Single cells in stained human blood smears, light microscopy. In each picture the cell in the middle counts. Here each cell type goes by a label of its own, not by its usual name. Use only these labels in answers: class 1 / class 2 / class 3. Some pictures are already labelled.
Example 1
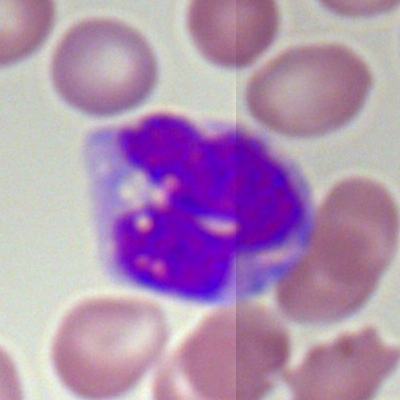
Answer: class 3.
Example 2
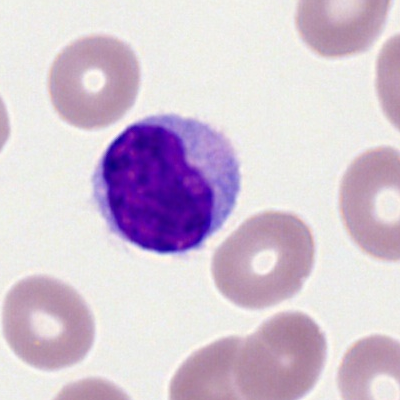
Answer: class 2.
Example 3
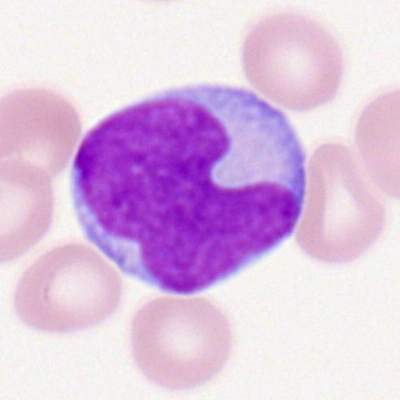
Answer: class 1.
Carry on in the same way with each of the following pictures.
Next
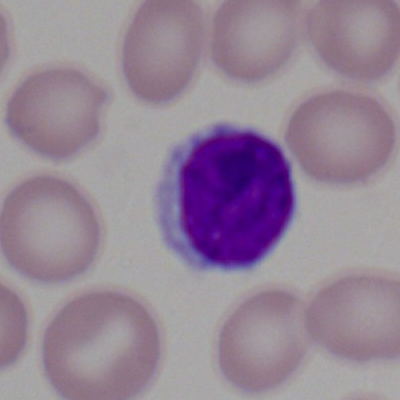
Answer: class 2.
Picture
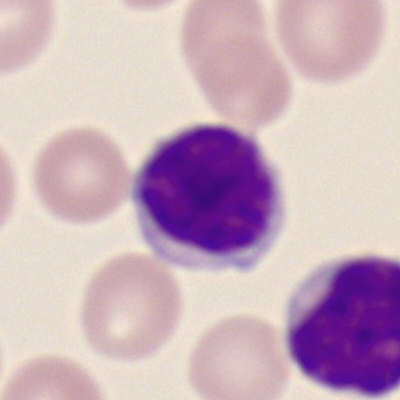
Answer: class 2.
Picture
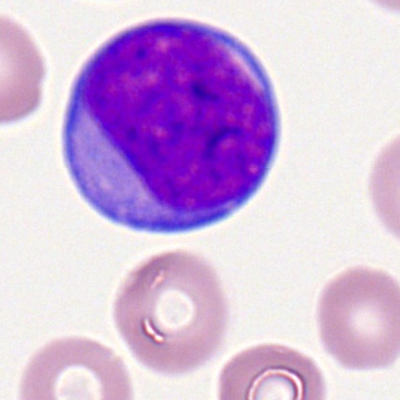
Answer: class 1.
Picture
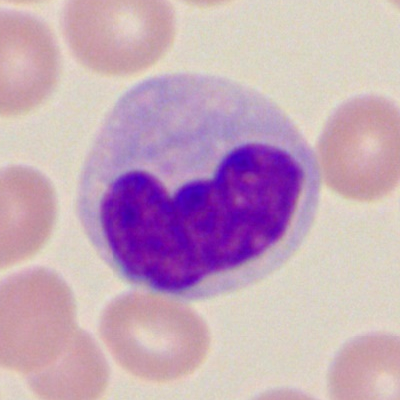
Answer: class 3.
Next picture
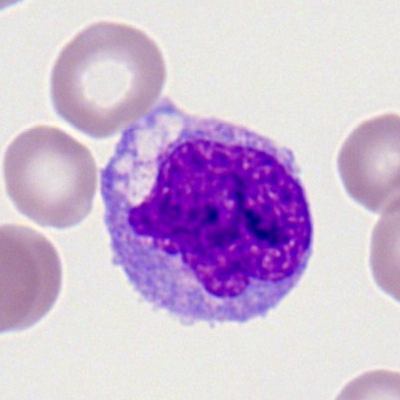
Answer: class 3.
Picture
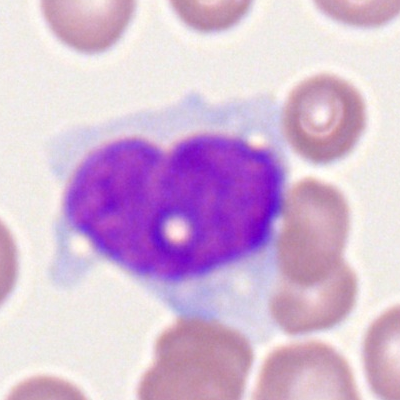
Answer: class 3.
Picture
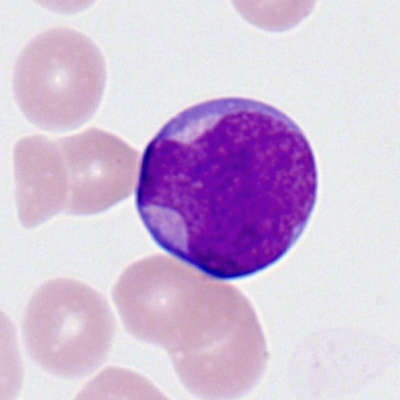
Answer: class 1.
